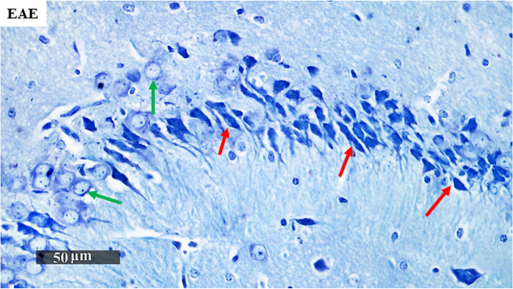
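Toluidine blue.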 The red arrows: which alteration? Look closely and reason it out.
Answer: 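The marked cells are shrunken and angular. They stain dark blue throughout. No clear pale nucleus or nucleolus is visible in them.
Conclusion: degenerated neurons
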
